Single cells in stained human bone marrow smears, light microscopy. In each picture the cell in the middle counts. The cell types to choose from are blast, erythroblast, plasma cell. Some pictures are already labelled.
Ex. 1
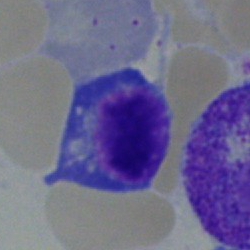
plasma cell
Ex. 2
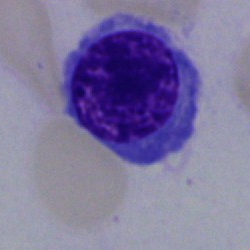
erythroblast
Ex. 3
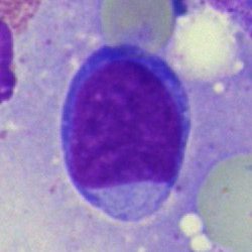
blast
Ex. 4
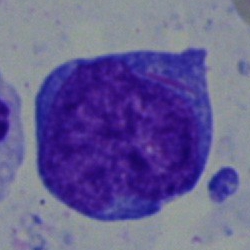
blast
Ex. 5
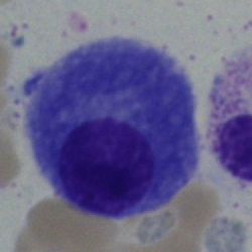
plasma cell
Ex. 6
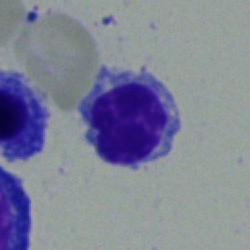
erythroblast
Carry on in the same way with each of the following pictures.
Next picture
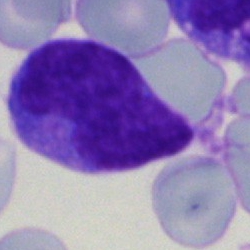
blast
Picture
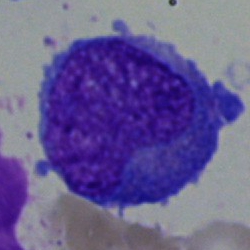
blast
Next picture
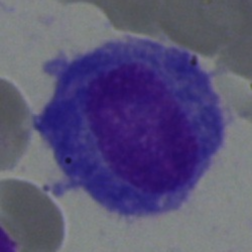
plasma cell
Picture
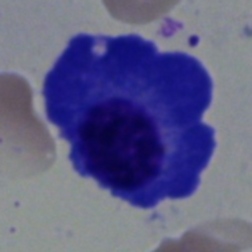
plasma cell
